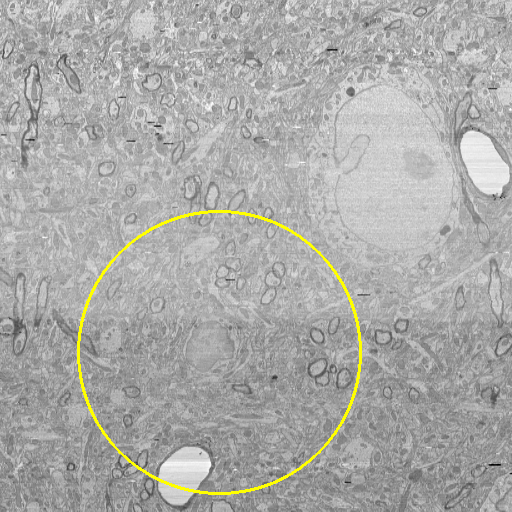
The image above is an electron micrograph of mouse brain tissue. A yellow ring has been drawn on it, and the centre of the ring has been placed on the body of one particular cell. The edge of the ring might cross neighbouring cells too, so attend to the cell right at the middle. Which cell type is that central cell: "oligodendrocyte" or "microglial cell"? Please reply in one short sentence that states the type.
The central cell in the ring is a microglial cell.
